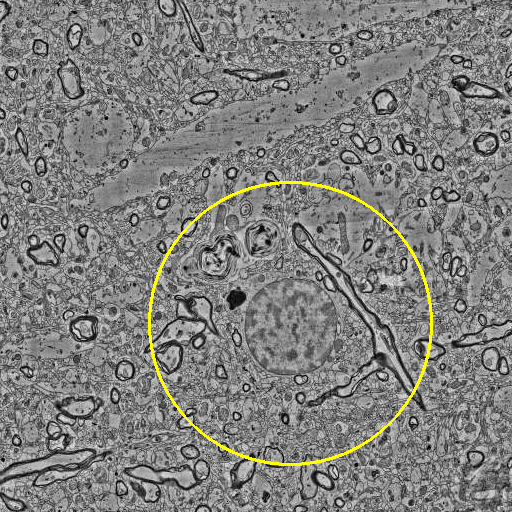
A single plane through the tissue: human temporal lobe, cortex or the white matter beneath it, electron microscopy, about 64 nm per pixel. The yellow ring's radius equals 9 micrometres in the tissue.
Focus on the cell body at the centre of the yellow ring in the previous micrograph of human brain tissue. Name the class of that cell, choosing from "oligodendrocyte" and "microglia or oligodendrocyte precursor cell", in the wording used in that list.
oligodendrocyte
